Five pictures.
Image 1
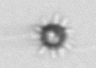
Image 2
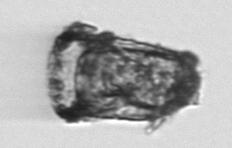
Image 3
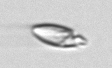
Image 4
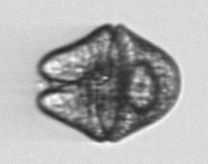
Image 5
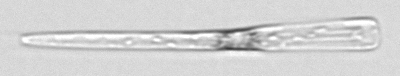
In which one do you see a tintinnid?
In picture 2.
